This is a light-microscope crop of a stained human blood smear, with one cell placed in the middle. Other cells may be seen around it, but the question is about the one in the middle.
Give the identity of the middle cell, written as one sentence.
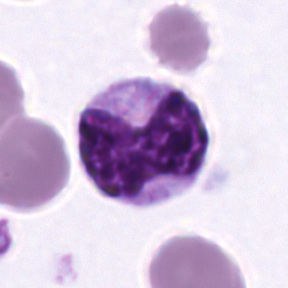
What sits at the centre of this crop is a band neutrophil.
